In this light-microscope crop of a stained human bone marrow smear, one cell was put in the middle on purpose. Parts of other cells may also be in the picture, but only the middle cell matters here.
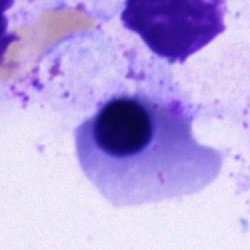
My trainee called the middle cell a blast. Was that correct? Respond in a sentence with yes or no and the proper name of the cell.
No, what is centred in the crop is not a blast but an erythroblast.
